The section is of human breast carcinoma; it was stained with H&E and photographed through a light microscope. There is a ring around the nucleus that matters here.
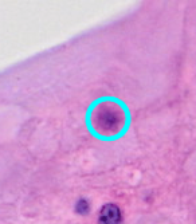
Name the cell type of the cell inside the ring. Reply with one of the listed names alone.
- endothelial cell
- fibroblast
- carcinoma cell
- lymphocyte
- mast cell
mast cell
